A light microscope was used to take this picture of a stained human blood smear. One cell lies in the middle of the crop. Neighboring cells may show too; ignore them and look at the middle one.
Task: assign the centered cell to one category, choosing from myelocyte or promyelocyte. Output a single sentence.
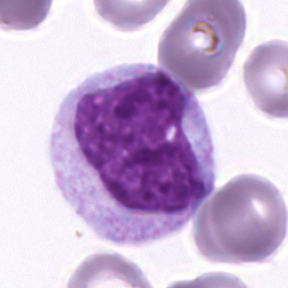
This crop's central cell is a myelocyte.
